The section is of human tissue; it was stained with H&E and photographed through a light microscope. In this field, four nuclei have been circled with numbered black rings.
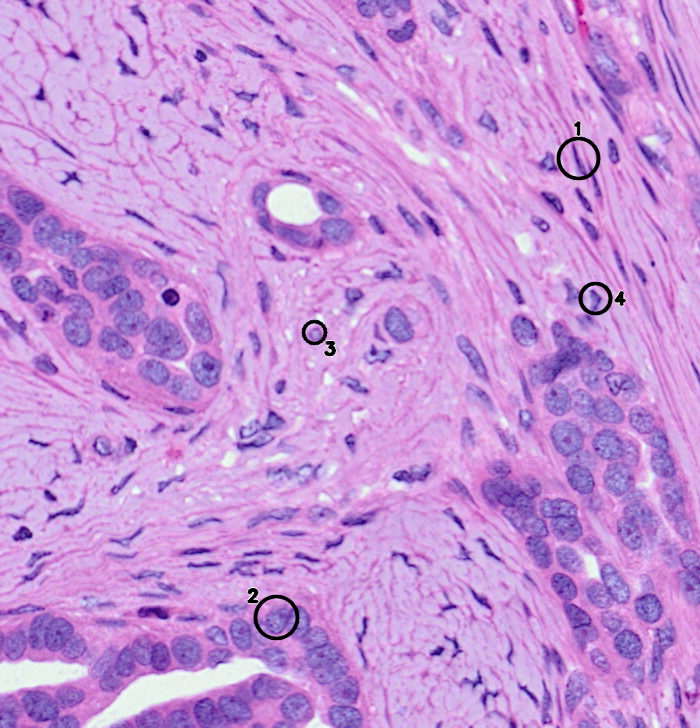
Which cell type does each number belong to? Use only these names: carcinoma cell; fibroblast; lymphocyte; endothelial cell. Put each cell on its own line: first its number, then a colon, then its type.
1: fibroblast
2: carcinoma cell
3: fibroblast
4: fibroblast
